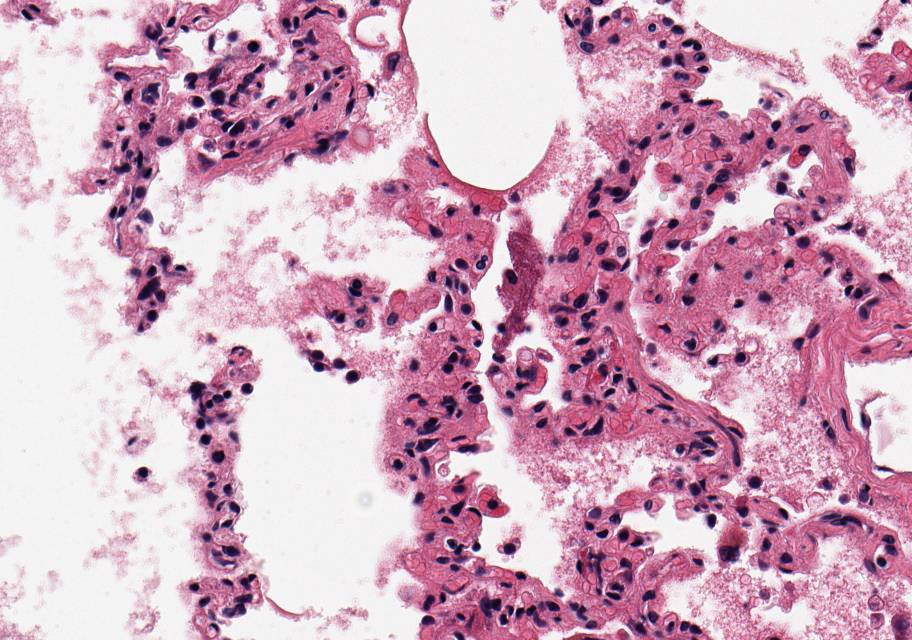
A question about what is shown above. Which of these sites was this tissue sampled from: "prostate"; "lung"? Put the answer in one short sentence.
The site this tissue was sampled from is the lung.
